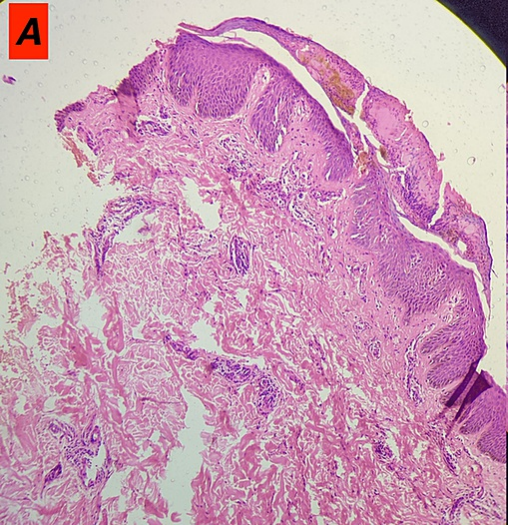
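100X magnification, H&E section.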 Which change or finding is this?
acanthosis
